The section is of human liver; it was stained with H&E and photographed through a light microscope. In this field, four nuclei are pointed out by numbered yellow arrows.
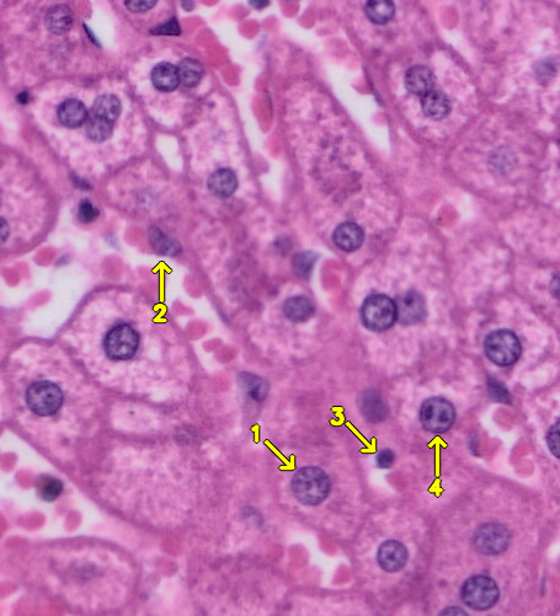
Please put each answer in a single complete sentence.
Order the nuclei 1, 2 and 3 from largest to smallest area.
By area, largest first, they run 1, 2, 3.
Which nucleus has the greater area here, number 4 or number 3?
Nucleus 4 is the larger one, covering about 3 times the area of nucleus 3.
